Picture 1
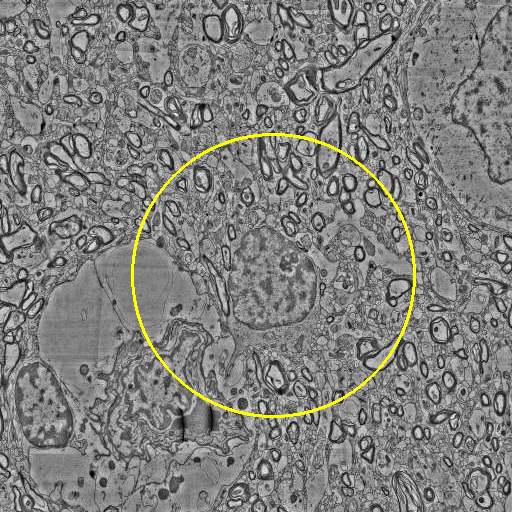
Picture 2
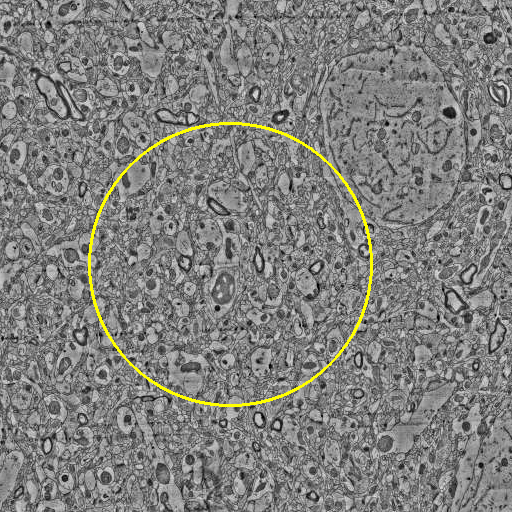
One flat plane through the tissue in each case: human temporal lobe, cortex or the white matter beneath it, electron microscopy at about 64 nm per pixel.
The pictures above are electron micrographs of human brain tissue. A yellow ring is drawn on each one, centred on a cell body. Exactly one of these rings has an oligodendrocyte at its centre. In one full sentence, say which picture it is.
Picture 1 has it at the centre of its ring.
